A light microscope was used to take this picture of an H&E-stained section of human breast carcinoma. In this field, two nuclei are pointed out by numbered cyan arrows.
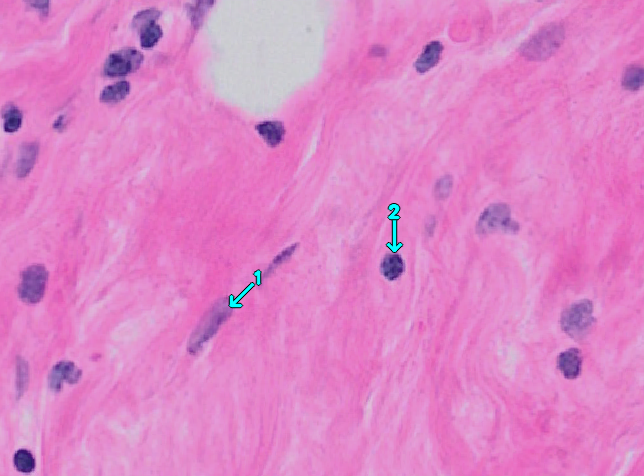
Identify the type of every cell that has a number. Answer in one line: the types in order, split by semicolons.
fibroblast; lymphocyte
